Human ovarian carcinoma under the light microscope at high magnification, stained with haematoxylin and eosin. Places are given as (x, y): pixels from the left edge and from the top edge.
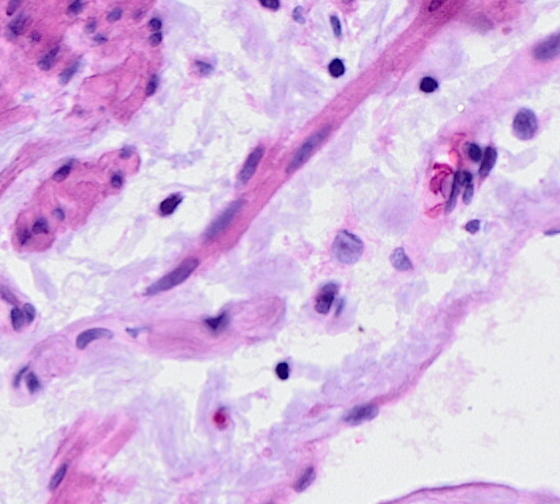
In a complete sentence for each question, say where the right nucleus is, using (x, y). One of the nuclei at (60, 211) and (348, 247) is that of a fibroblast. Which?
Of these two nuclei, it is the one at (348, 247) that belongs to a fibroblast.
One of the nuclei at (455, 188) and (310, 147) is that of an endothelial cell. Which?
The nucleus at (455, 188) is the member of the pair belonging to an endothelial cell.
